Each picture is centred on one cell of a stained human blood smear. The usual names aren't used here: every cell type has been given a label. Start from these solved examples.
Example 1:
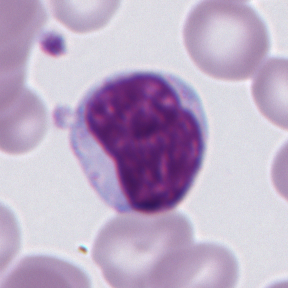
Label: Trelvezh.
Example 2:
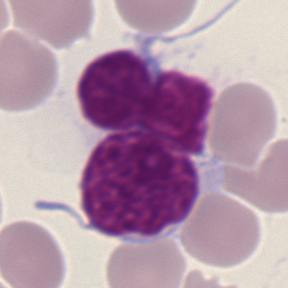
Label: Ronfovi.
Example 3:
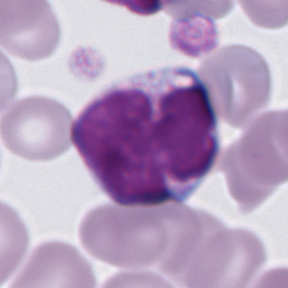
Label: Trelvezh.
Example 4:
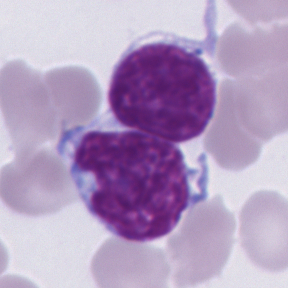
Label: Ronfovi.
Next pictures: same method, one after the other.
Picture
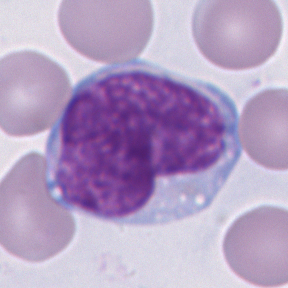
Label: Ronfovi.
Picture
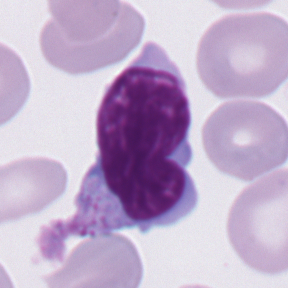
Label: Trelvezh.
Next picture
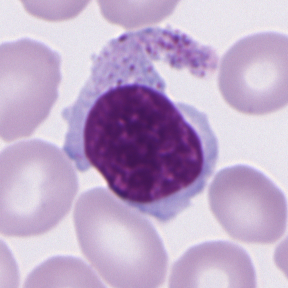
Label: Trelvezh.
